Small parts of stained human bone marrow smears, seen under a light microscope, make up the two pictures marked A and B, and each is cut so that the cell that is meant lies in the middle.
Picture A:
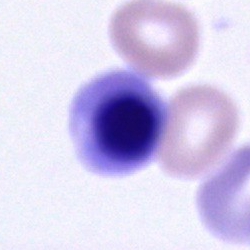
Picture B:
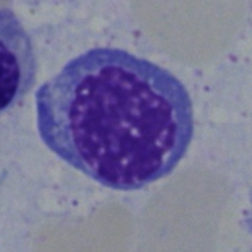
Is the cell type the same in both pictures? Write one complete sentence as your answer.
Yes, the two pictures both show erythroblasts.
